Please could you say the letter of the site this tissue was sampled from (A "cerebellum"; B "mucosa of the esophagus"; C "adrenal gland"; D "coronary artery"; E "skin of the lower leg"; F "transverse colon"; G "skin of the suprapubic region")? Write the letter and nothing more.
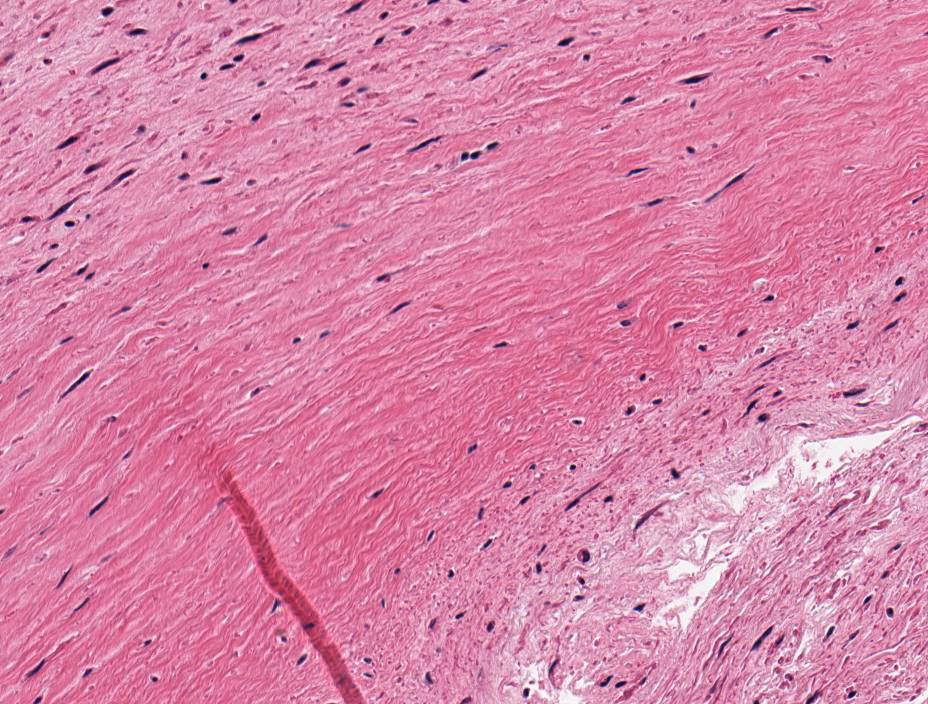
D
